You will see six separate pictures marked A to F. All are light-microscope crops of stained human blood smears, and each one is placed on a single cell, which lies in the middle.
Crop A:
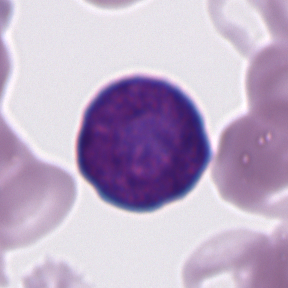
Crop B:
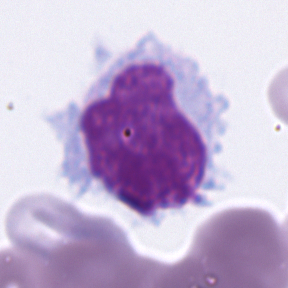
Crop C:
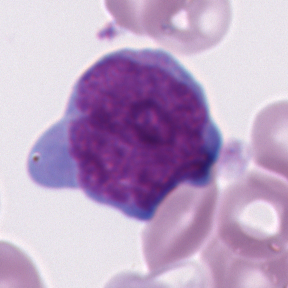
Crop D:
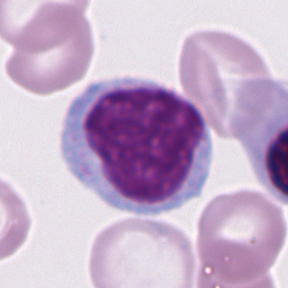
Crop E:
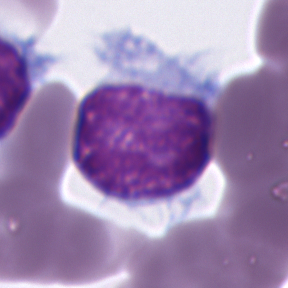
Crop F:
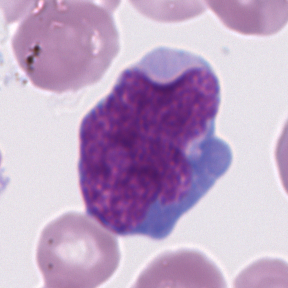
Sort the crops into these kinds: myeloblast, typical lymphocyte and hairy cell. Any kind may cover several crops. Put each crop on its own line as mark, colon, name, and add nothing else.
A: myeloblast
B: hairy cell
C: myeloblast
D: typical lymphocyte
E: hairy cell
F: myeloblast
